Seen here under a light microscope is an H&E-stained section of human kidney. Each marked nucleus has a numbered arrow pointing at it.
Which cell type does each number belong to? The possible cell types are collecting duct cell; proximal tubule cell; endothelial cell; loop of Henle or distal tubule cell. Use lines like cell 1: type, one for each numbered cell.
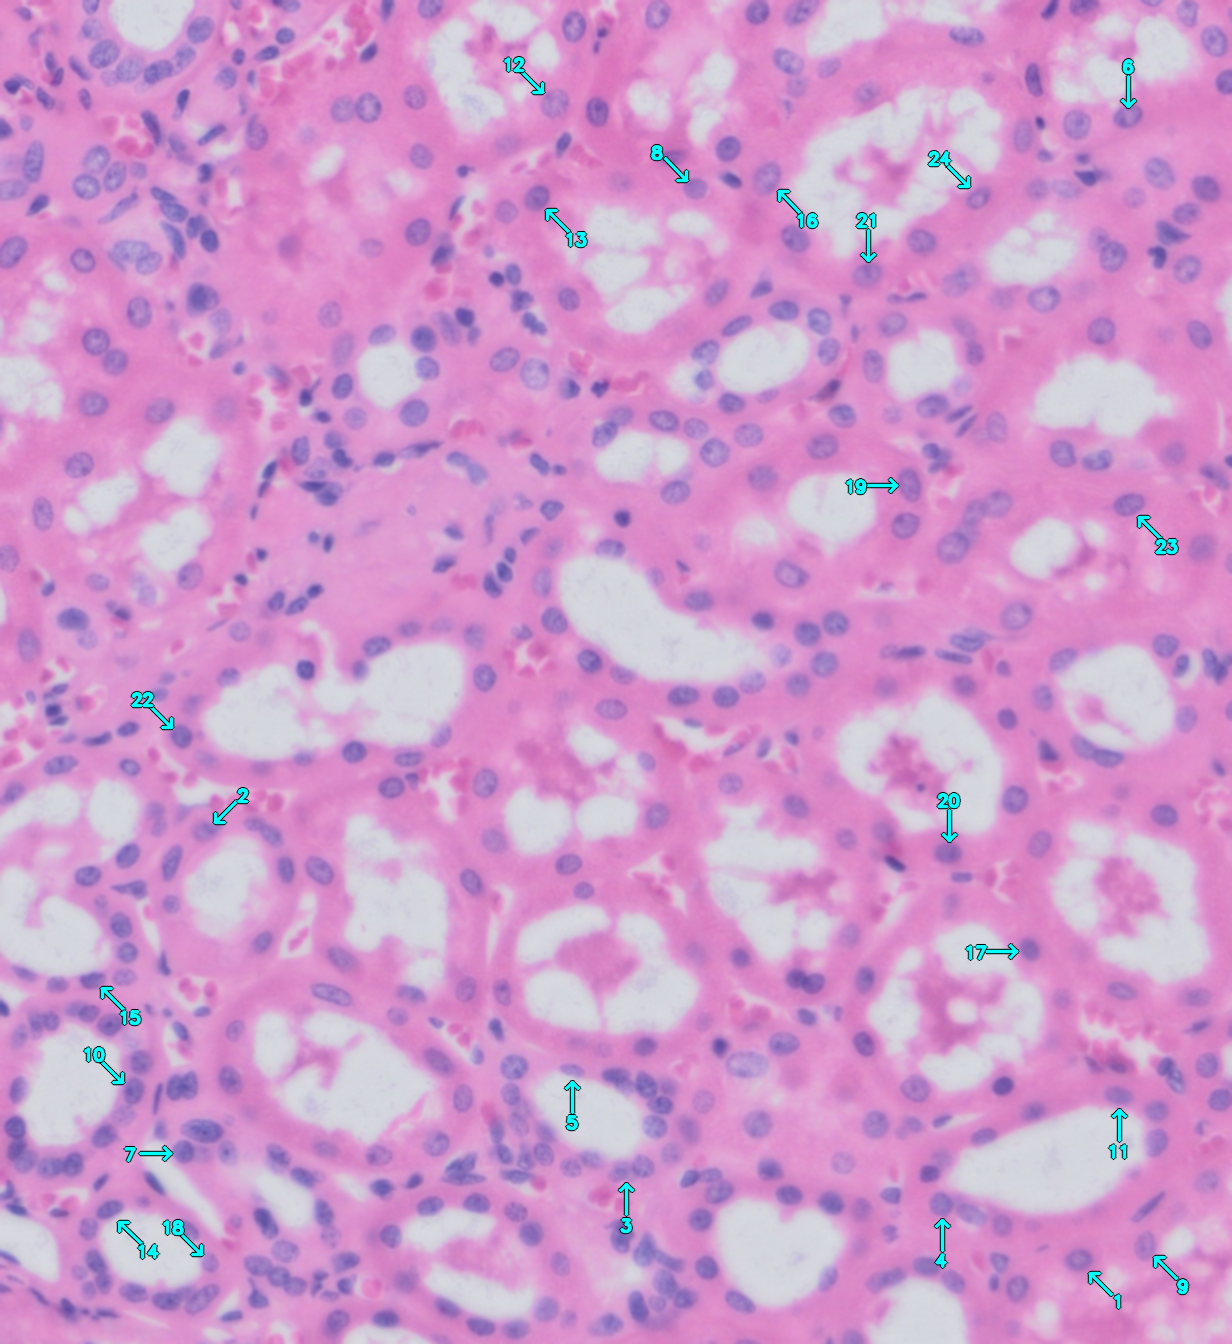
cell 1: proximal tubule cell
cell 2: collecting duct cell
cell 3: collecting duct cell
cell 4: loop of Henle or distal tubule cell
cell 5: collecting duct cell
cell 6: proximal tubule cell
cell 7: collecting duct cell
cell 8: proximal tubule cell
cell 9: proximal tubule cell
cell 10: collecting duct cell
cell 11: loop of Henle or distal tubule cell
cell 12: proximal tubule cell
cell 13: proximal tubule cell
cell 14: collecting duct cell
cell 15: collecting duct cell
cell 16: proximal tubule cell
cell 17: proximal tubule cell
cell 18: collecting duct cell
cell 19: proximal tubule cell
cell 20: proximal tubule cell
cell 21: proximal tubule cell
cell 22: collecting duct cell
cell 23: proximal tubule cell
cell 24: proximal tubule cell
